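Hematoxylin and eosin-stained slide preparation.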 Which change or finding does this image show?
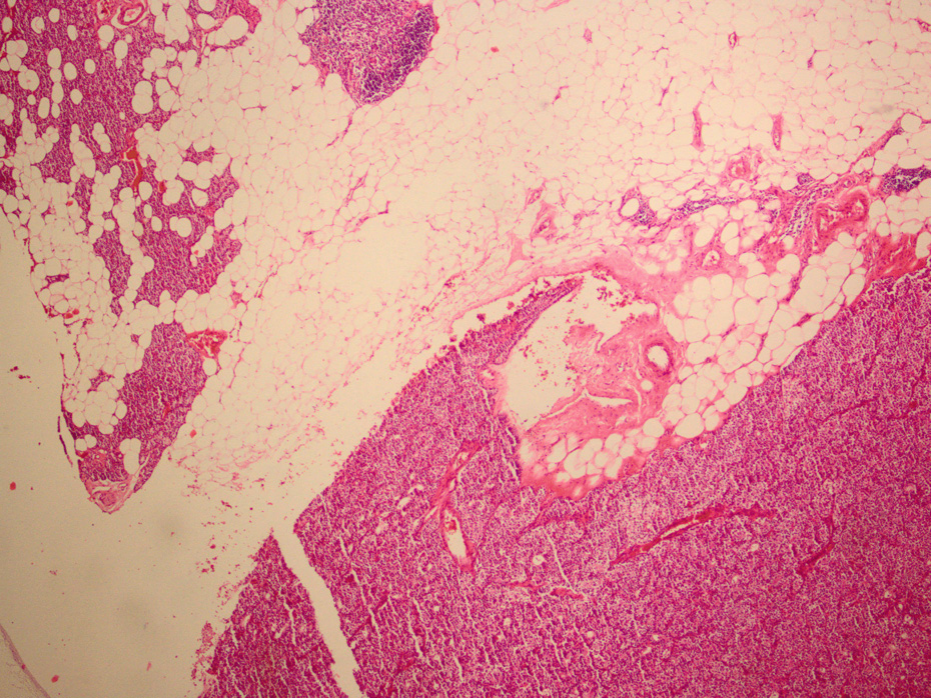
Adenoma.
